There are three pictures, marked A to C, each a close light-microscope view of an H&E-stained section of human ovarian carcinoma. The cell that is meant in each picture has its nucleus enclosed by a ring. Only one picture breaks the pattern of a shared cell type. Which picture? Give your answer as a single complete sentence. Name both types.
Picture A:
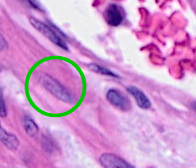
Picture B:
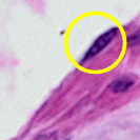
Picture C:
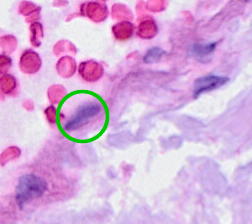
All pictures except A show endothelial cells; picture A shows a smooth muscle cell.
